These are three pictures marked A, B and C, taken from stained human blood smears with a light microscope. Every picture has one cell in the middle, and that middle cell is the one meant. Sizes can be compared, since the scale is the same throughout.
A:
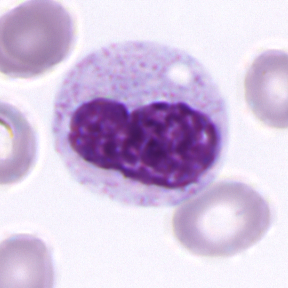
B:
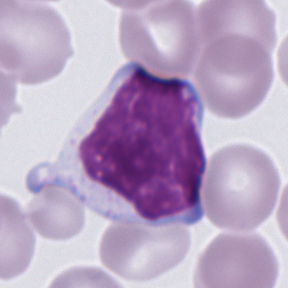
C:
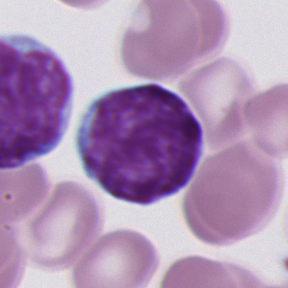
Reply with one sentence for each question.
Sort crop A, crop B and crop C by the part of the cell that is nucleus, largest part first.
They run C, B, A, the most filled first.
